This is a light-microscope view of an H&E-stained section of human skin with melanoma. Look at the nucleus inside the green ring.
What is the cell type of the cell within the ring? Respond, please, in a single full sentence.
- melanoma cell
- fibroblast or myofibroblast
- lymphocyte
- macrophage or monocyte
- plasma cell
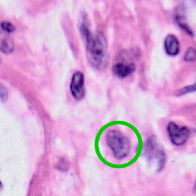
In this tissue sample, the cell within the ring is a macrophage or monocyte.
